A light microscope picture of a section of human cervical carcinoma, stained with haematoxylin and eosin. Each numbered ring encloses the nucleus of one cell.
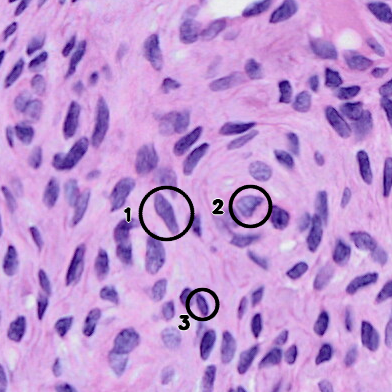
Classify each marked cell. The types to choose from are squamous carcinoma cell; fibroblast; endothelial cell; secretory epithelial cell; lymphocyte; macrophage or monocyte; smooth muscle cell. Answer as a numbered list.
1. fibroblast
2. endothelial cell
3. fibroblast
